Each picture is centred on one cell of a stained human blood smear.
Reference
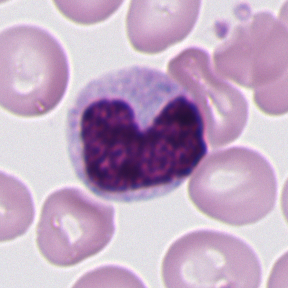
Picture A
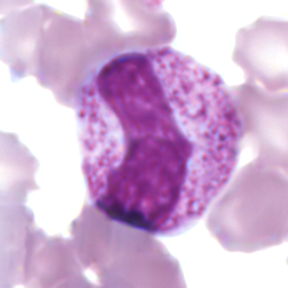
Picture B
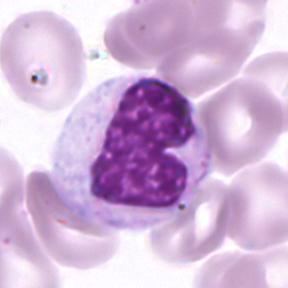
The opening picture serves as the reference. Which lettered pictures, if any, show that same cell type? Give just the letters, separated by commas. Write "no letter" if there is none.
A, B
